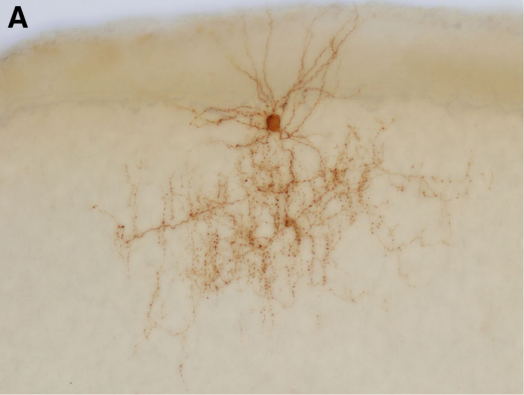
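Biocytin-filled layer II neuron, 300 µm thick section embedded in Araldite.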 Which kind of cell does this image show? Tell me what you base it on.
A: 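Chandelier cells. A single brown-filled neuron with a round soma and radiating dendrites. A dense axonal arbor below the soma made of short vertical rows of beads.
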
